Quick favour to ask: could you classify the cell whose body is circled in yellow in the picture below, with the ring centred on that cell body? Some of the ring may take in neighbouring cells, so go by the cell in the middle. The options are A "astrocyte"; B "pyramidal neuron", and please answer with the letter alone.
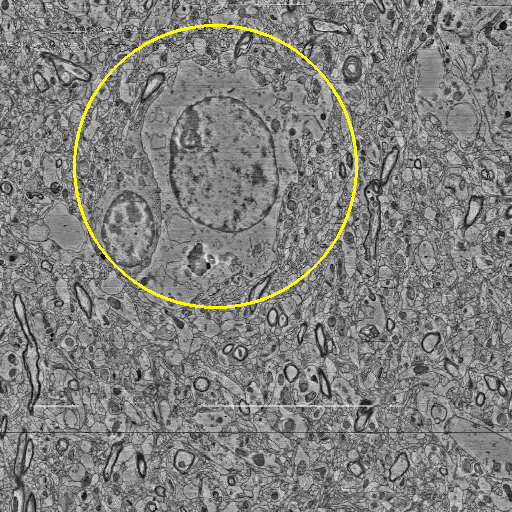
A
